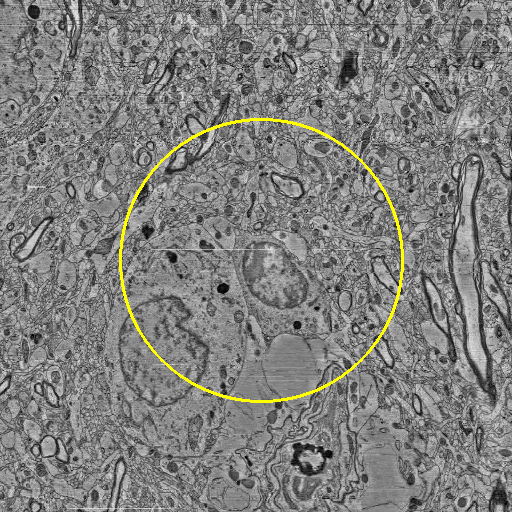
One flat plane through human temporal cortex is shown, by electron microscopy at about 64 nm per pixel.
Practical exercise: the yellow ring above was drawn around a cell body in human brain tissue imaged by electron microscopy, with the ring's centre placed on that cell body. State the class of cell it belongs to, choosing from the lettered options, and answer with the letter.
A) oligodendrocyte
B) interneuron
A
